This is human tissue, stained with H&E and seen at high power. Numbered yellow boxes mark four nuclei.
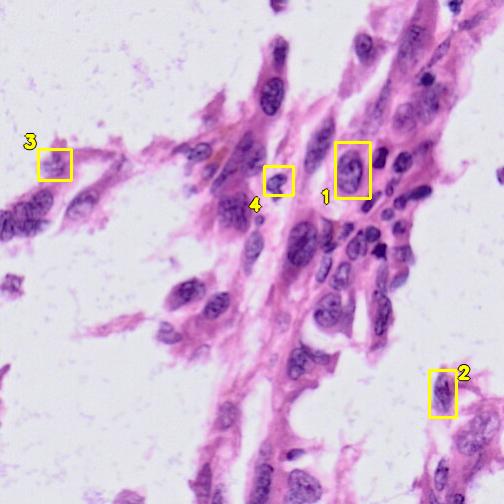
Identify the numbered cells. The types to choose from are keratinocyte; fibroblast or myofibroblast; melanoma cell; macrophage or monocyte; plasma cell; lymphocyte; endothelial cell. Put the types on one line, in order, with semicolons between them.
melanoma cell; melanoma cell; melanoma cell; lymphocyte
